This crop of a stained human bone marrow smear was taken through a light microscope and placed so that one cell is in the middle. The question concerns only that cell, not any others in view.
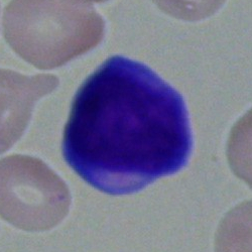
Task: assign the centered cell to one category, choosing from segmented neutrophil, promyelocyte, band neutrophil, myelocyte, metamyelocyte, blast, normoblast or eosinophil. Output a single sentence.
Within this crop, a blast occupies the central position.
